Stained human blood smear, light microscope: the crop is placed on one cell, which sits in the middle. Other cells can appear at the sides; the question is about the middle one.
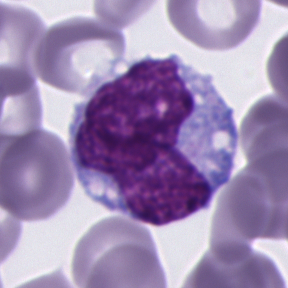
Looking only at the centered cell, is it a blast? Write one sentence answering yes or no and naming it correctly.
No, the middle cell is classified as a monocyte and not as a blast.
